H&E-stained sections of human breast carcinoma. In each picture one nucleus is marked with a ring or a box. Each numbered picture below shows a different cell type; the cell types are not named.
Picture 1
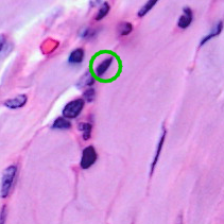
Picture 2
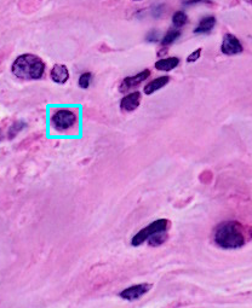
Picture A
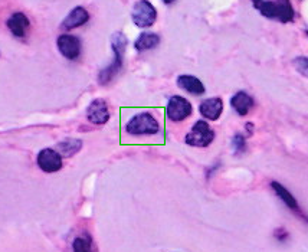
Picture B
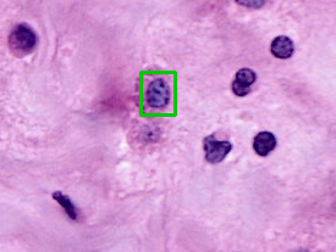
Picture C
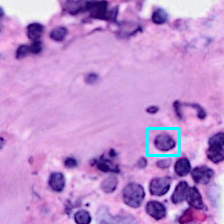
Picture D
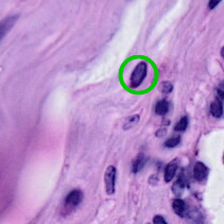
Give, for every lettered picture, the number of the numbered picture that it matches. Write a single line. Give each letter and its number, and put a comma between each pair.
A 1, B 2, C 1, D 1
